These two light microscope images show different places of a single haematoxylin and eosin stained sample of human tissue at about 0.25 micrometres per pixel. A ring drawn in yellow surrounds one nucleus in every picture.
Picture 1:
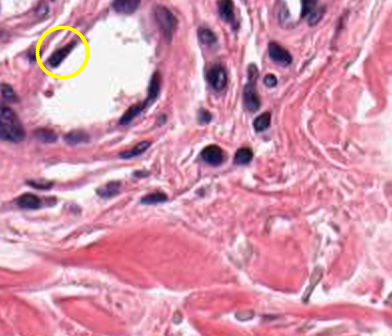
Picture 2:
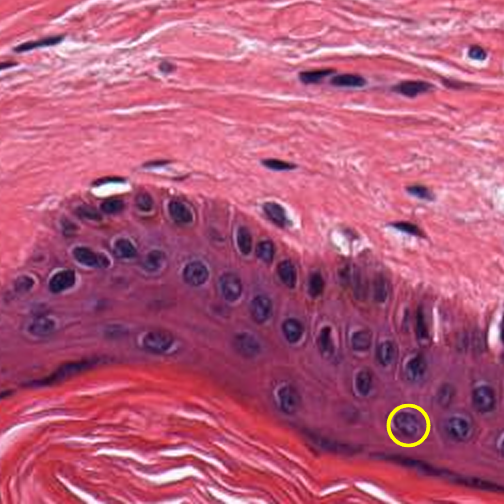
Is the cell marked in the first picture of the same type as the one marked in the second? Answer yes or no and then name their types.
No, the first is an endothelial cell and the second a keratinocyte.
